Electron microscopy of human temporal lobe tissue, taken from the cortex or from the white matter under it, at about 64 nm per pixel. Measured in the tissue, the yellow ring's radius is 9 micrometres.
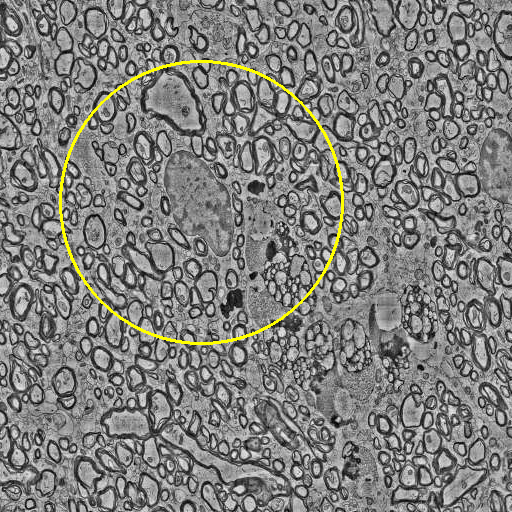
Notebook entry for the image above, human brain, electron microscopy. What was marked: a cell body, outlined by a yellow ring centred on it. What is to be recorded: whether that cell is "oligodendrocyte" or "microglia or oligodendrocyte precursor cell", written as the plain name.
microglia or oligodendrocyte precursor cell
